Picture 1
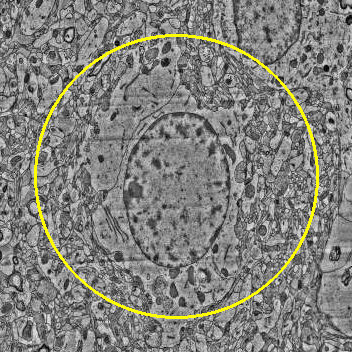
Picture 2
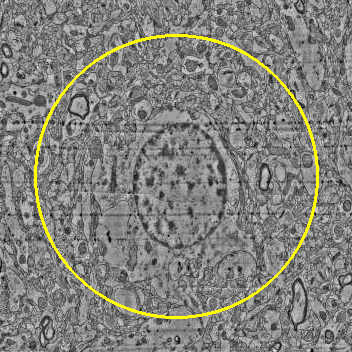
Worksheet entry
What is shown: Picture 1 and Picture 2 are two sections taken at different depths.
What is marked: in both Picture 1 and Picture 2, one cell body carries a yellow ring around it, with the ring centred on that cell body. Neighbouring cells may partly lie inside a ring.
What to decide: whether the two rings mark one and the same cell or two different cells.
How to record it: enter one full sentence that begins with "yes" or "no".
No, the two yellow rings surround two different cells.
